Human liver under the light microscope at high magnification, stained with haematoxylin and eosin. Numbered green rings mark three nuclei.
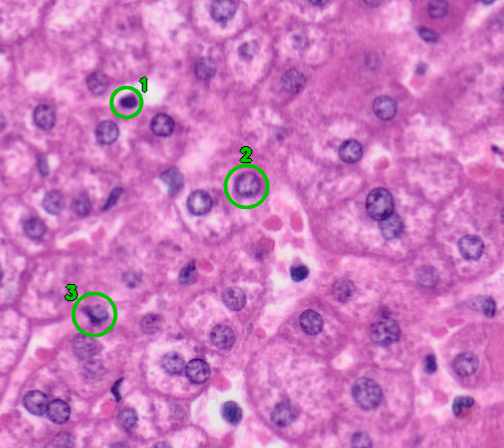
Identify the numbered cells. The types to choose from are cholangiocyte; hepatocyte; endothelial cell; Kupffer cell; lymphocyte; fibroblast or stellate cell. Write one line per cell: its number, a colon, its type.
1: lymphocyte
2: hepatocyte
3: endothelial cell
